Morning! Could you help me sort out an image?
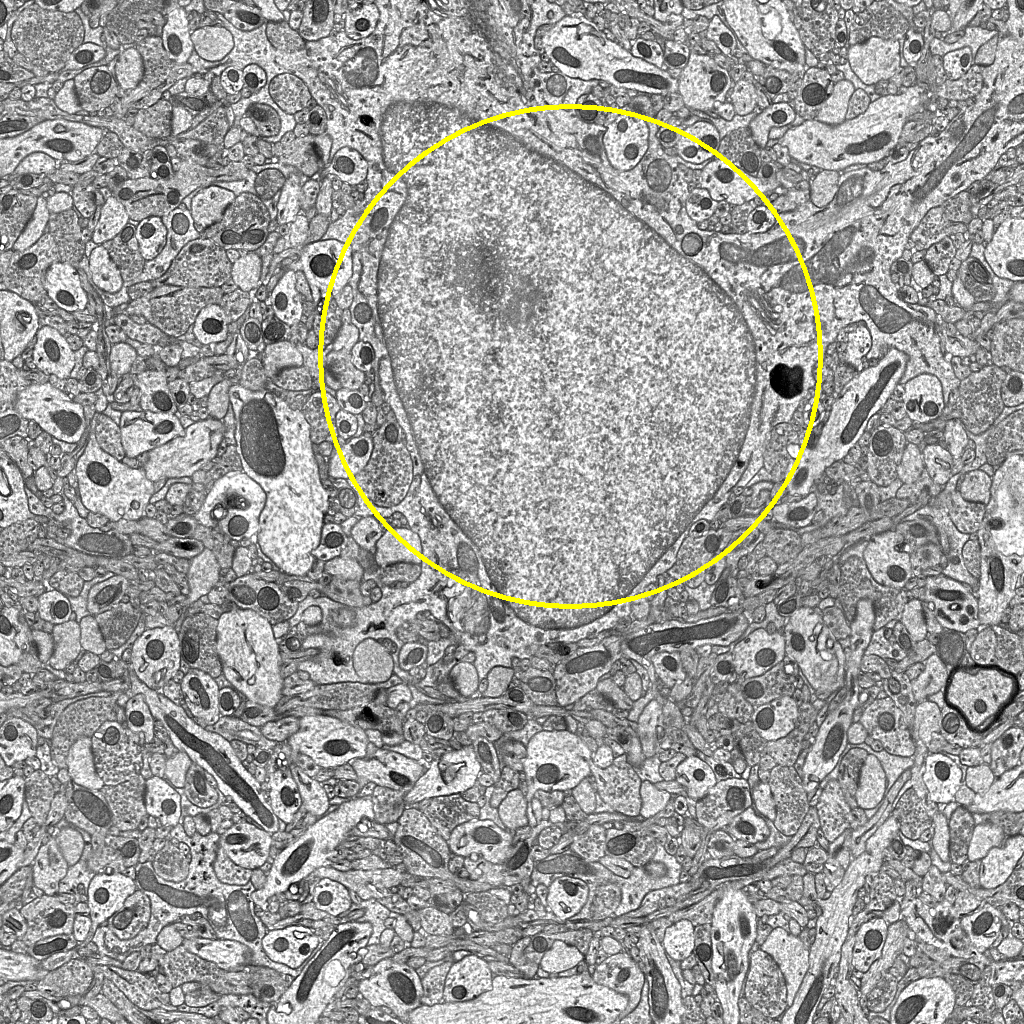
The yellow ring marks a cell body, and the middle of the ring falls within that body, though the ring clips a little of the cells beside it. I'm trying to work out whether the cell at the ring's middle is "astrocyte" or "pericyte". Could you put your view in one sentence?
The cell body at the ring's middle is that of an astrocyte.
